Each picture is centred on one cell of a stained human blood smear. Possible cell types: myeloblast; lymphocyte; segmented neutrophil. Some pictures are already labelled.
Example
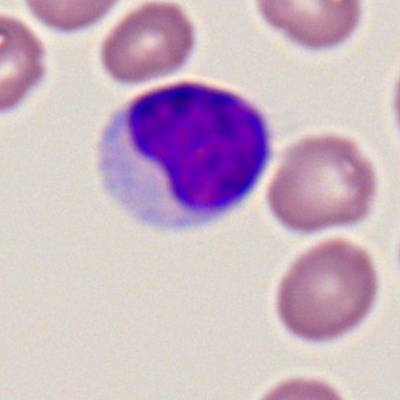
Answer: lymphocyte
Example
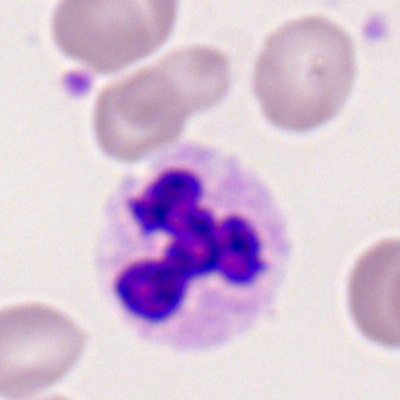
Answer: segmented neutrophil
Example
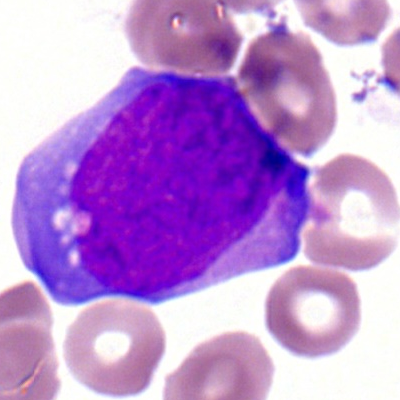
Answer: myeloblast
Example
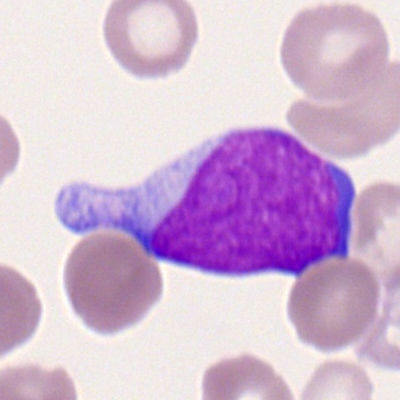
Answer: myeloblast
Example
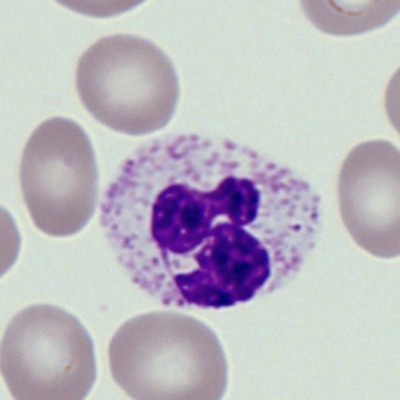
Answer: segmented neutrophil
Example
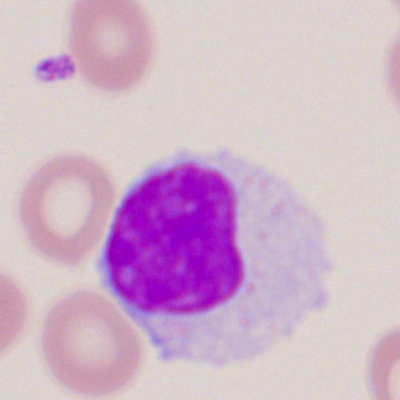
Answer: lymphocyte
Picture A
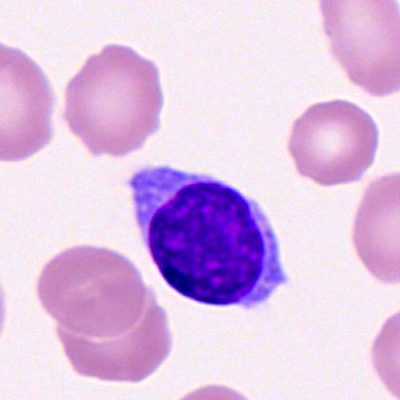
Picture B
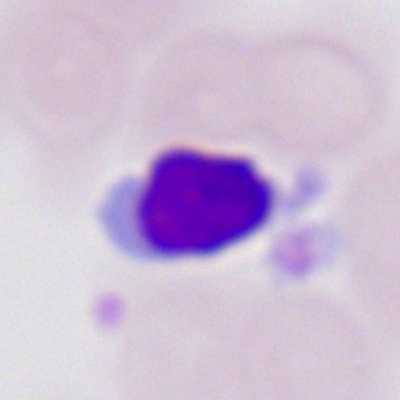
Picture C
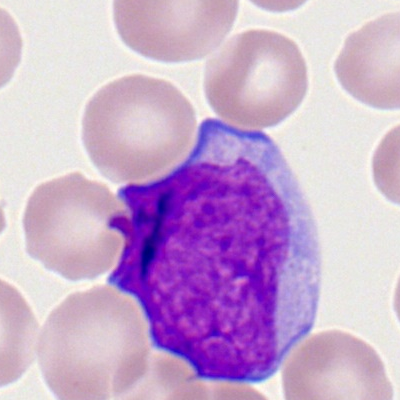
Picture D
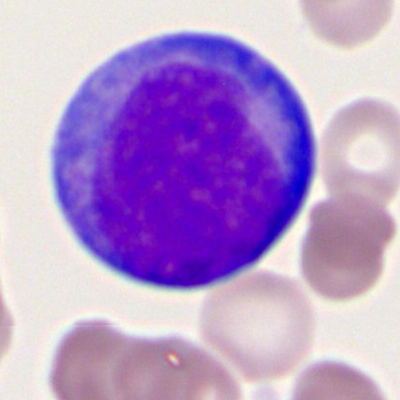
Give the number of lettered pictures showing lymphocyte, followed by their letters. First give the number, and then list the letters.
2: A, B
